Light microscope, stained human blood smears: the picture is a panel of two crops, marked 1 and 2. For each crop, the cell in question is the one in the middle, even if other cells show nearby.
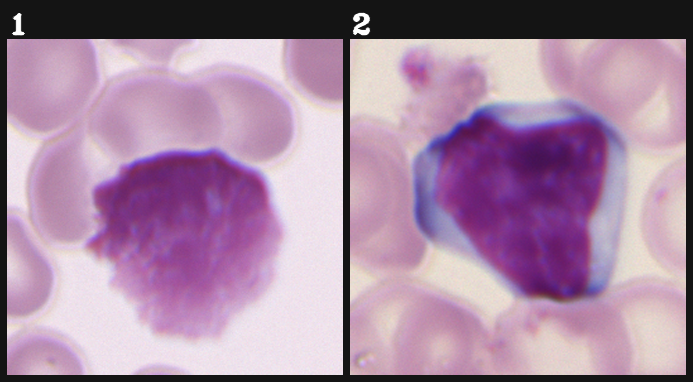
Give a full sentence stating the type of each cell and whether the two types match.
No, the assignment should read crop 1, a smudge cell; crop 2, a typical lymphocyte.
